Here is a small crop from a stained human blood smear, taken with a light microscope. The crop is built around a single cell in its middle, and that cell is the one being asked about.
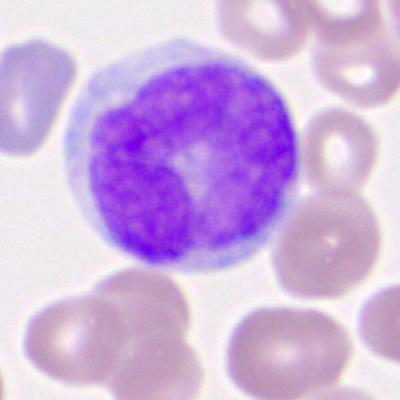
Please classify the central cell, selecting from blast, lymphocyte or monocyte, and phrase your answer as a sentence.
In this crop, the cell at the very middle is a monocyte.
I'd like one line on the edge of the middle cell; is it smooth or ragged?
You can see a smooth boundary, with no projections sticking out.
